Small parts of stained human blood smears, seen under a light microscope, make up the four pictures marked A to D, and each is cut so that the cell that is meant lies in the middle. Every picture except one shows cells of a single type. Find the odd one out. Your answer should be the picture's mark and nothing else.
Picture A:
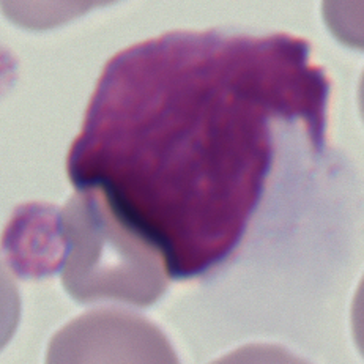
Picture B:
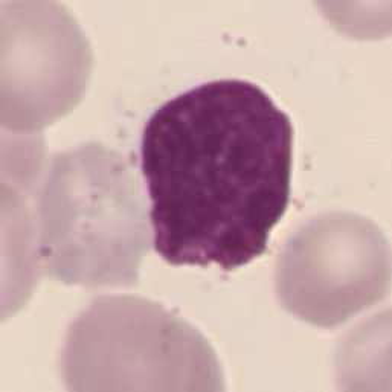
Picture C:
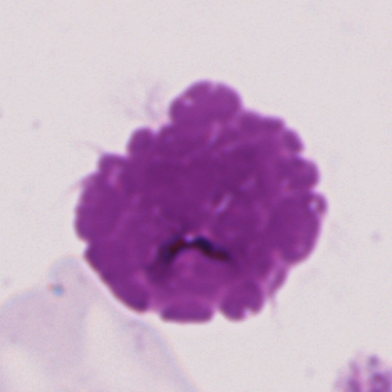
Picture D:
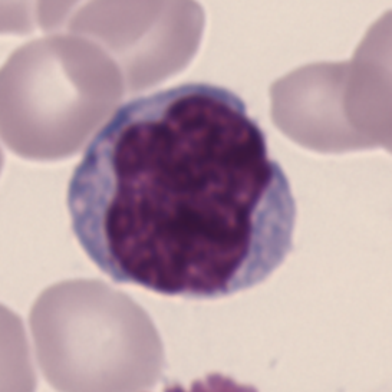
D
